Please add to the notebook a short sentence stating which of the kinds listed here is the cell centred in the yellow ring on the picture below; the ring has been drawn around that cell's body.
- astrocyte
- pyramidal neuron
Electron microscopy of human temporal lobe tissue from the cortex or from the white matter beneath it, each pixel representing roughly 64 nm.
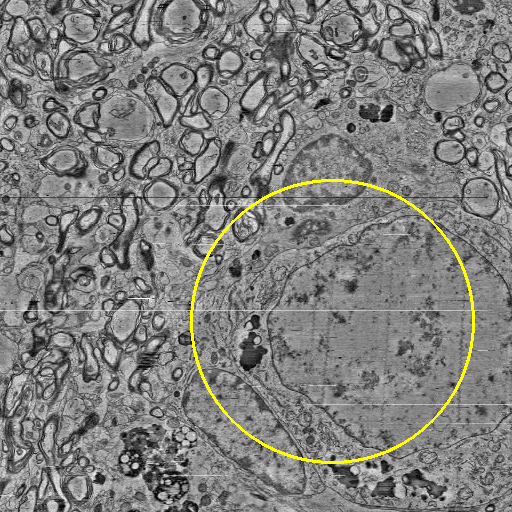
The cell centred in the yellow ring is a pyramidal neuron.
